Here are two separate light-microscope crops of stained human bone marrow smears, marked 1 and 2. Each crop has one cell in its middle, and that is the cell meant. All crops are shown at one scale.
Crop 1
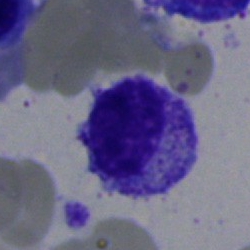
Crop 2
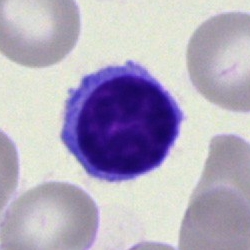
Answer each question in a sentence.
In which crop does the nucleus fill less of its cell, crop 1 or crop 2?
In crop 1 the nucleus takes up the smaller part of its cell.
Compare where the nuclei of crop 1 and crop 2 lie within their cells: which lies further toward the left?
The nucleus in crop 1 lies further toward the left of its cell.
